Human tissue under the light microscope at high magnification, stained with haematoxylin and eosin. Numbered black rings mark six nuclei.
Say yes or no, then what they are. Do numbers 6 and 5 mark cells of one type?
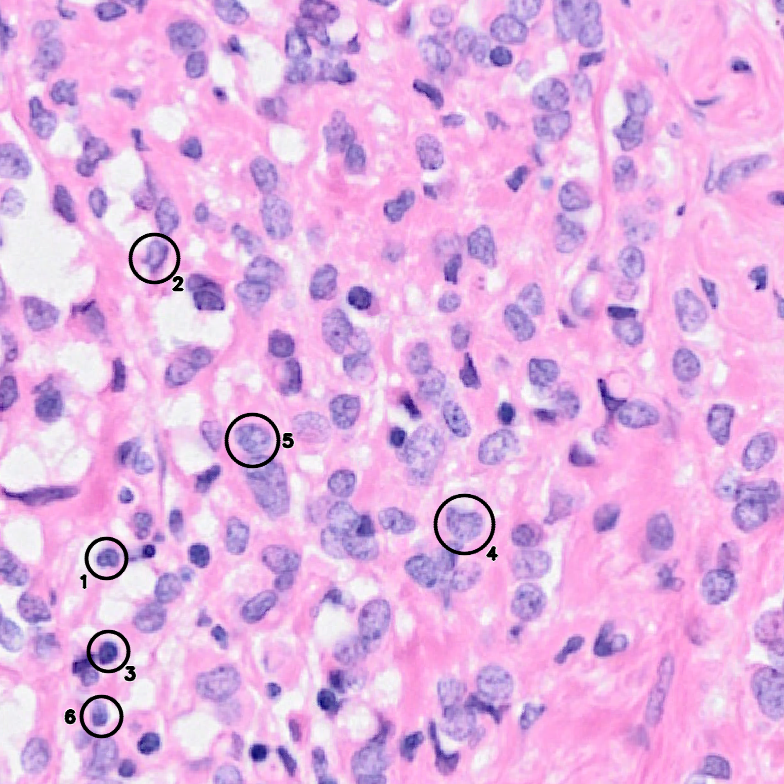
No, cell 6 is a lymphocyte and cell 5 is a carcinoma cell.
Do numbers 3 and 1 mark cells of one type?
Yes, both are lymphocytes.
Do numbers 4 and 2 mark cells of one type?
Yes, both are carcinoma cells.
